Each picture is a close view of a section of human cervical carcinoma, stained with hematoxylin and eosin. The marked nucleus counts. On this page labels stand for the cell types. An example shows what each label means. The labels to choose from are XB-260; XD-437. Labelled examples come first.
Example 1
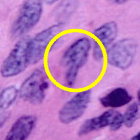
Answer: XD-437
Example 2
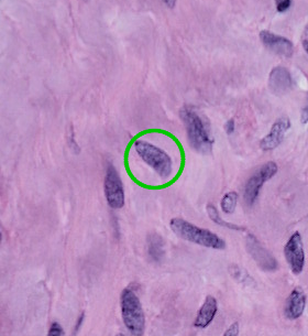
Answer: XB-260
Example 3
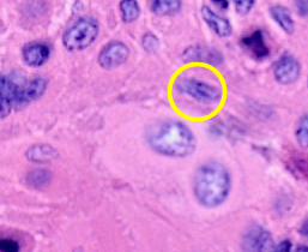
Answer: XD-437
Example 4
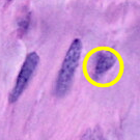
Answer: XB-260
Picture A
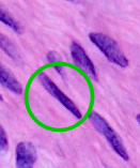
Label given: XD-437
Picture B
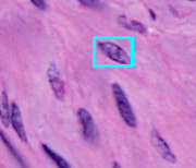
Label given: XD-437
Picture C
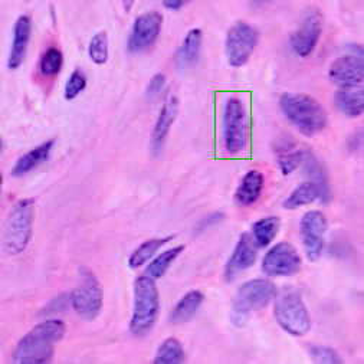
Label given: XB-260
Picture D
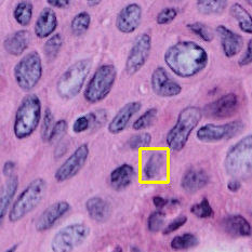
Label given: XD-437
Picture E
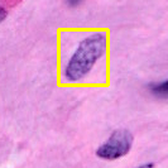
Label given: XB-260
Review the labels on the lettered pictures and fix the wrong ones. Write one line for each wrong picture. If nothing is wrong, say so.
A: not XD-437 but XB-260
B: not XD-437 but XB-260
